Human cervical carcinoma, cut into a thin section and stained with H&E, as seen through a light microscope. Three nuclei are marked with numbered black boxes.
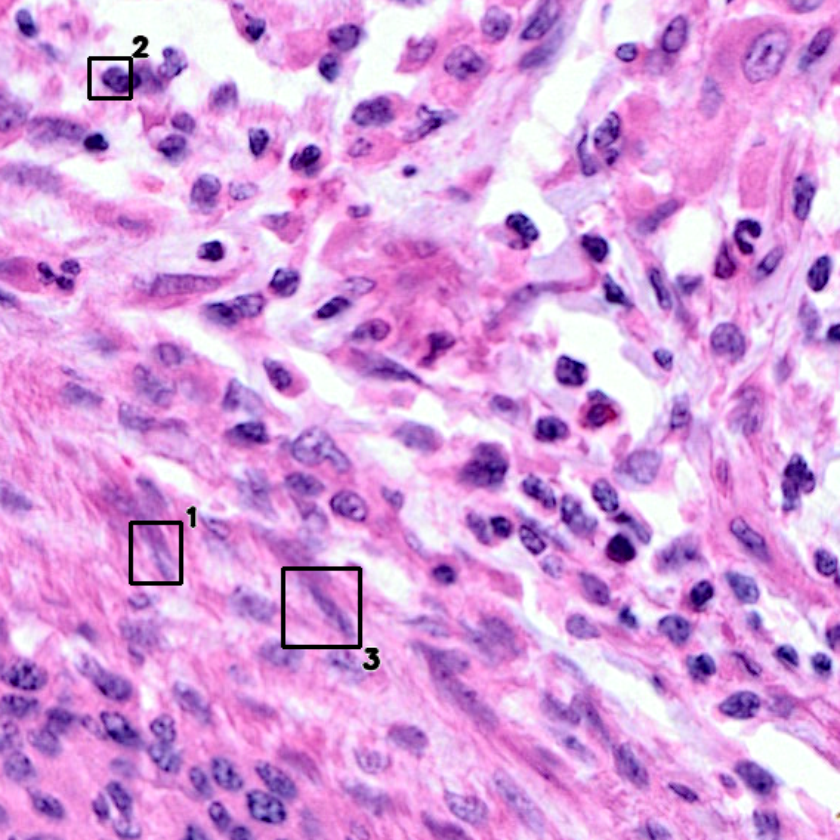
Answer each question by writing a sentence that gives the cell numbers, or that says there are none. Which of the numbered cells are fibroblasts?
Regarding the numbered cells 1 and 3, these are fibroblasts.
